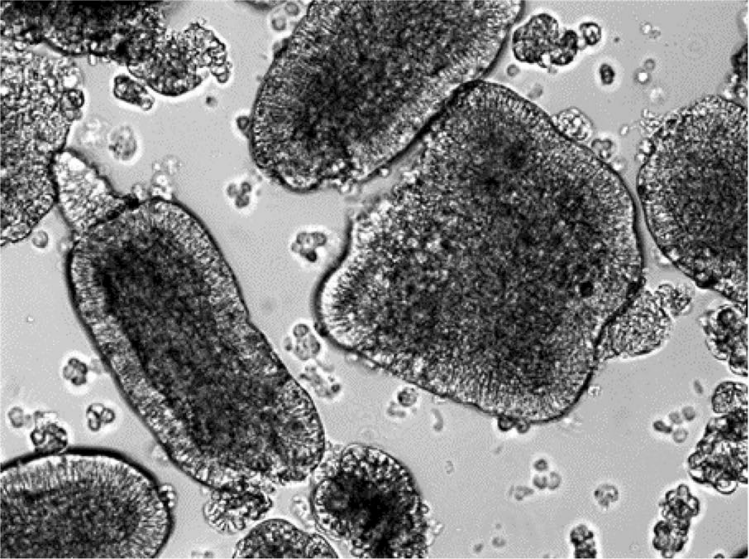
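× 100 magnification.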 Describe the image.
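Several large, free-floating tissue fragments, some elongated and finger-like, one broad and lobed, each edged by a continuous single layer of tall, tightly packed columnar epithelial cells whose striated palisade is clearest at the margins. The interior of each fragment is darker and denser, with a granular texture. Around them the background is crowded with small debris: rounded single cells and loose grape-like clusters of a few cells.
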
